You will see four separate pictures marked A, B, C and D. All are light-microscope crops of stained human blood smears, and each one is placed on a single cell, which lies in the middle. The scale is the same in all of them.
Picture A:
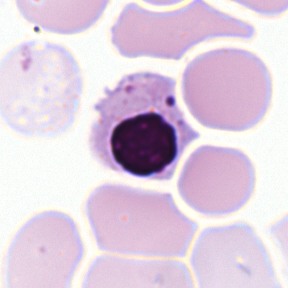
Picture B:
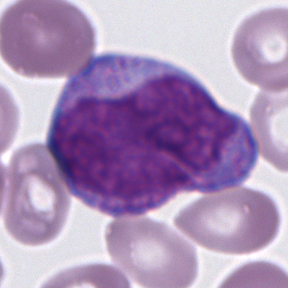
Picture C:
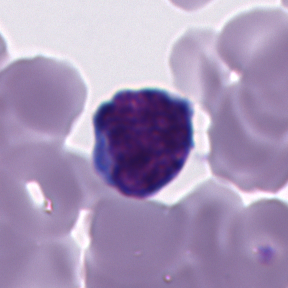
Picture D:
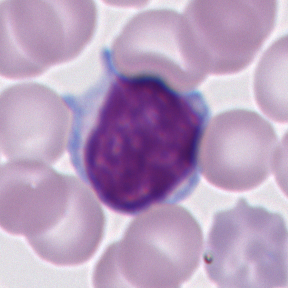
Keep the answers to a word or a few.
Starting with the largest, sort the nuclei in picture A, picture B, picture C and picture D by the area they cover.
B, D, C, A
